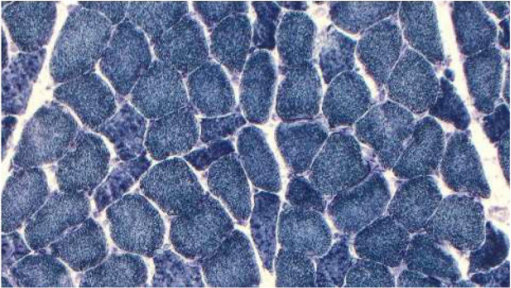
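Skeletal muscle in cross-section stained blue, with polygonal muscle fibers separated by pale spaces and a few wider pale connective tissue bands. Within the fibers the blue reaction product forms a fine granular pattern. Fibers differ in the intensity of staining, some darker and some lighter, and in several the pattern is patchy and irregular rather than evenly fine. The fibers also vary in size.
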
